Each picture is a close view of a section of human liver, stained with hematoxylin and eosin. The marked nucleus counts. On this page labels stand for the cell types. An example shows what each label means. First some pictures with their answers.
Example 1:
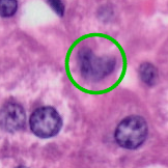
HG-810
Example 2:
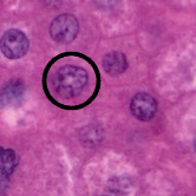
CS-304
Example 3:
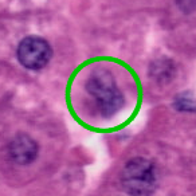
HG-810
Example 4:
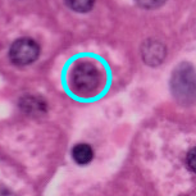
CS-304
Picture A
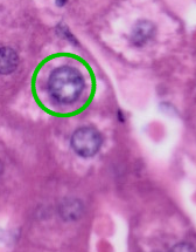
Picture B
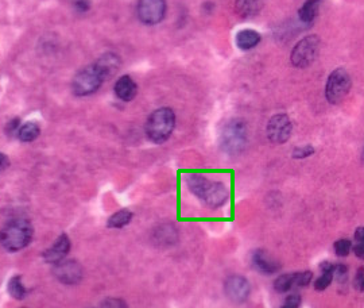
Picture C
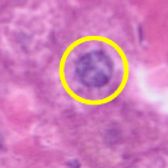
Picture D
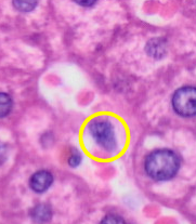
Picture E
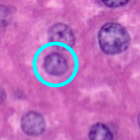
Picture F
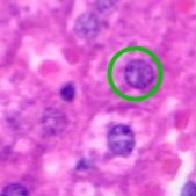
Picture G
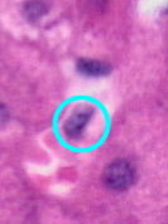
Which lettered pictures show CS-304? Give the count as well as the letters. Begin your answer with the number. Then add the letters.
4: A, C, E, F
